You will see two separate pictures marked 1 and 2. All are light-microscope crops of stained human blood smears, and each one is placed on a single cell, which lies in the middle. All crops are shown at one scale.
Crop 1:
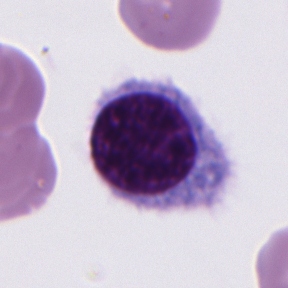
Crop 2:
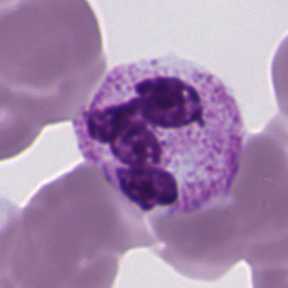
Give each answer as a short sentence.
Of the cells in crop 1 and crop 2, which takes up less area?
The cell in crop 1 is smaller; the one in crop 2 has about 1.5 times its area.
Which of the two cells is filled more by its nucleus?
Of the two, the nucleus in crop 1 makes up the greater part of its cell.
